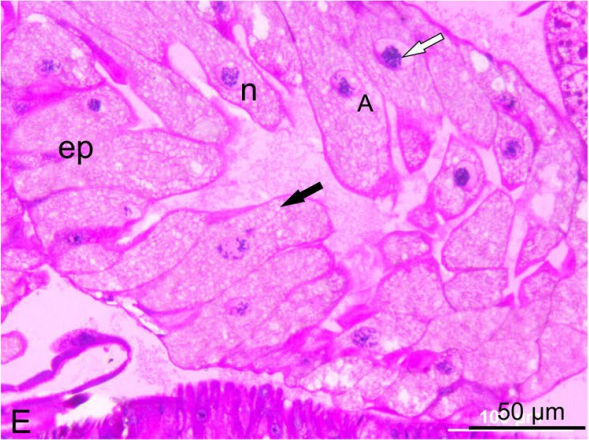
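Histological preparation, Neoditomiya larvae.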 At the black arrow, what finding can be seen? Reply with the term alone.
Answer: Vacuolization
